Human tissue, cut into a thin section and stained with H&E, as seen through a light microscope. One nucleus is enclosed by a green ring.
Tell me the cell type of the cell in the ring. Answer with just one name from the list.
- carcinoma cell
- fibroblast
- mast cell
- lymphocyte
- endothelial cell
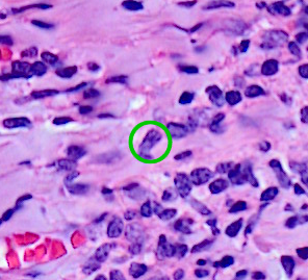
lymphocyte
